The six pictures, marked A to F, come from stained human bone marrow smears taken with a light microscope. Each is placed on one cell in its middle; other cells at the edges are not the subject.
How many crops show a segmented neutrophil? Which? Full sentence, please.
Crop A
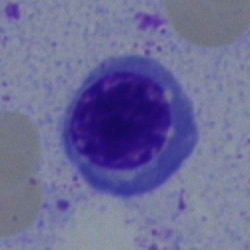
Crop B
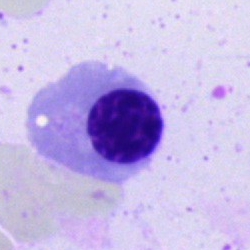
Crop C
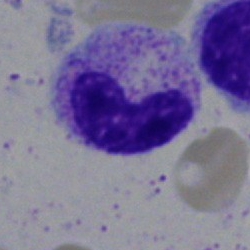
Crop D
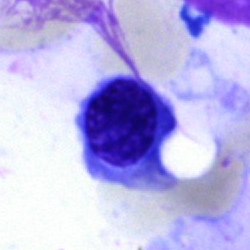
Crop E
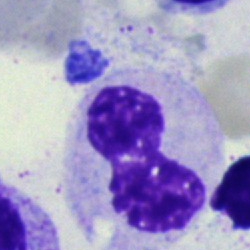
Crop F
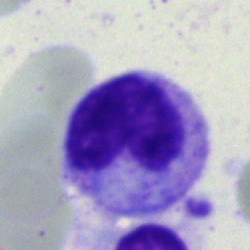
From every crop segmented neutrophils are absent, so the count is zero.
